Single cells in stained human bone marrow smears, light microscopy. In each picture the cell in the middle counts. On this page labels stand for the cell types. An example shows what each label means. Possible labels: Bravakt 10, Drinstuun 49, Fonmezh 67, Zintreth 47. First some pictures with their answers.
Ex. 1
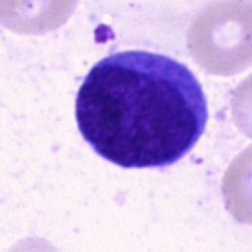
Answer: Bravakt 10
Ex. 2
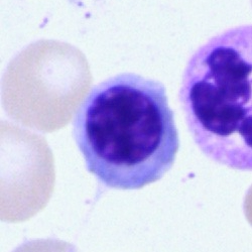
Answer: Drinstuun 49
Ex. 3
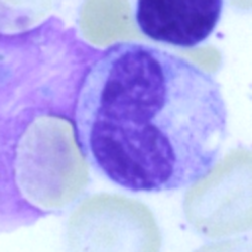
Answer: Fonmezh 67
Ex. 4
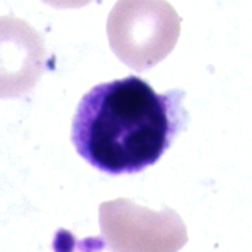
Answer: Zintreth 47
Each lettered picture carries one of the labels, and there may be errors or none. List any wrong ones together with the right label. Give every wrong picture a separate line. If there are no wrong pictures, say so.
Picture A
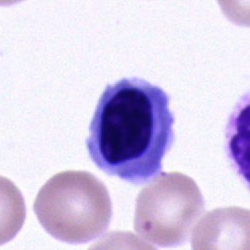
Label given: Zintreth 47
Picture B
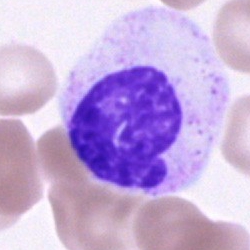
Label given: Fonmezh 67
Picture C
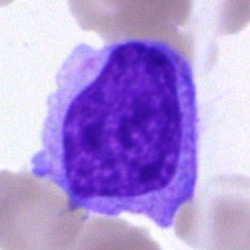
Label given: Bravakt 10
A: change Zintreth 47 to Drinstuun 49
